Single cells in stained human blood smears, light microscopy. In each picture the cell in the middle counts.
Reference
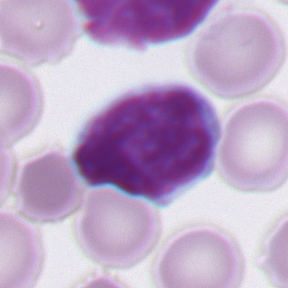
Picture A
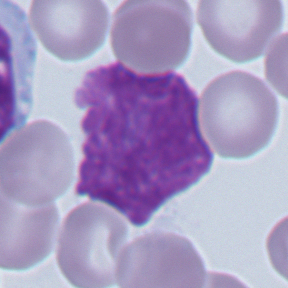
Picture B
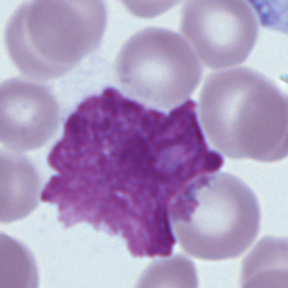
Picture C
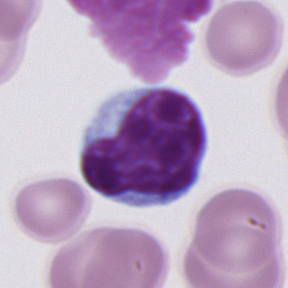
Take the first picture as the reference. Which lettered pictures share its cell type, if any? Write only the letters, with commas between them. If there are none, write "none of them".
C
